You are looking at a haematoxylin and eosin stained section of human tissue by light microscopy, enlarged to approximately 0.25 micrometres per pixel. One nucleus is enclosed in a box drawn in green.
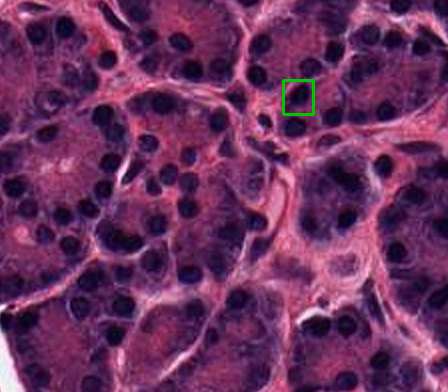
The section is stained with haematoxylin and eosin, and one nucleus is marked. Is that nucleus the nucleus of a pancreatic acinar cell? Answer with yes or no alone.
yes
